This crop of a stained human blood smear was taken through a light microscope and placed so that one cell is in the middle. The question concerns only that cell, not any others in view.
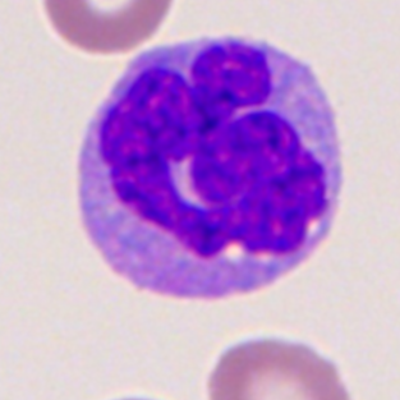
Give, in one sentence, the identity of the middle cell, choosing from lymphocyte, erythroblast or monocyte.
Looking at the middle of the crop, the cell there is a monocyte.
